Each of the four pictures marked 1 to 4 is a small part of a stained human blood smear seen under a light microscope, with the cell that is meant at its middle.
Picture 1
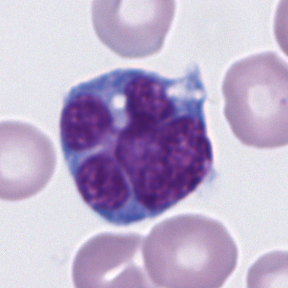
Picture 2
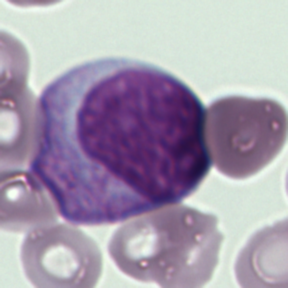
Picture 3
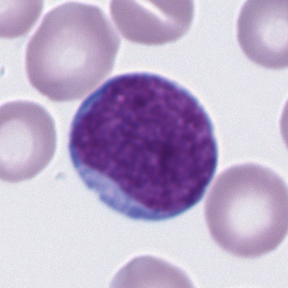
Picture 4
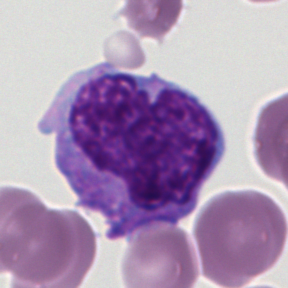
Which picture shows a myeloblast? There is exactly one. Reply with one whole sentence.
Picture 3 is the one that shows the myeloblast.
